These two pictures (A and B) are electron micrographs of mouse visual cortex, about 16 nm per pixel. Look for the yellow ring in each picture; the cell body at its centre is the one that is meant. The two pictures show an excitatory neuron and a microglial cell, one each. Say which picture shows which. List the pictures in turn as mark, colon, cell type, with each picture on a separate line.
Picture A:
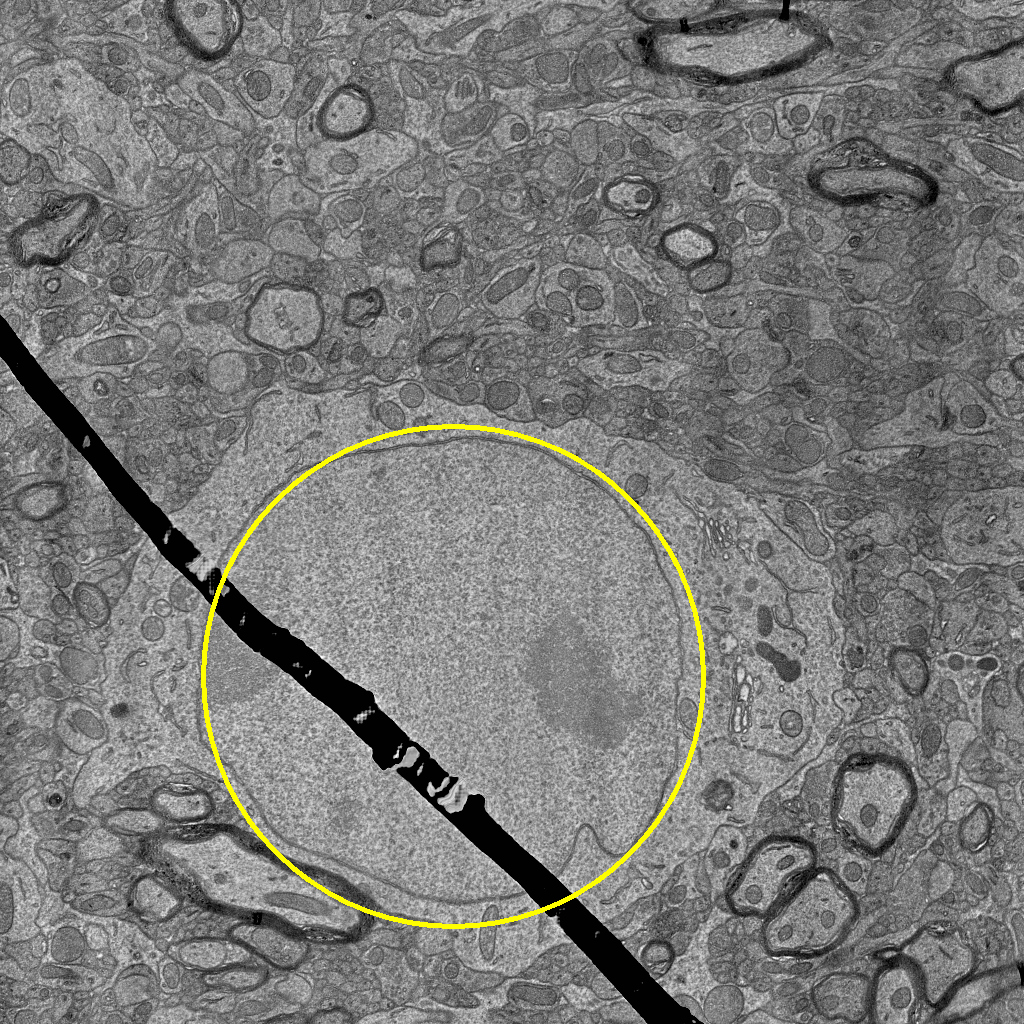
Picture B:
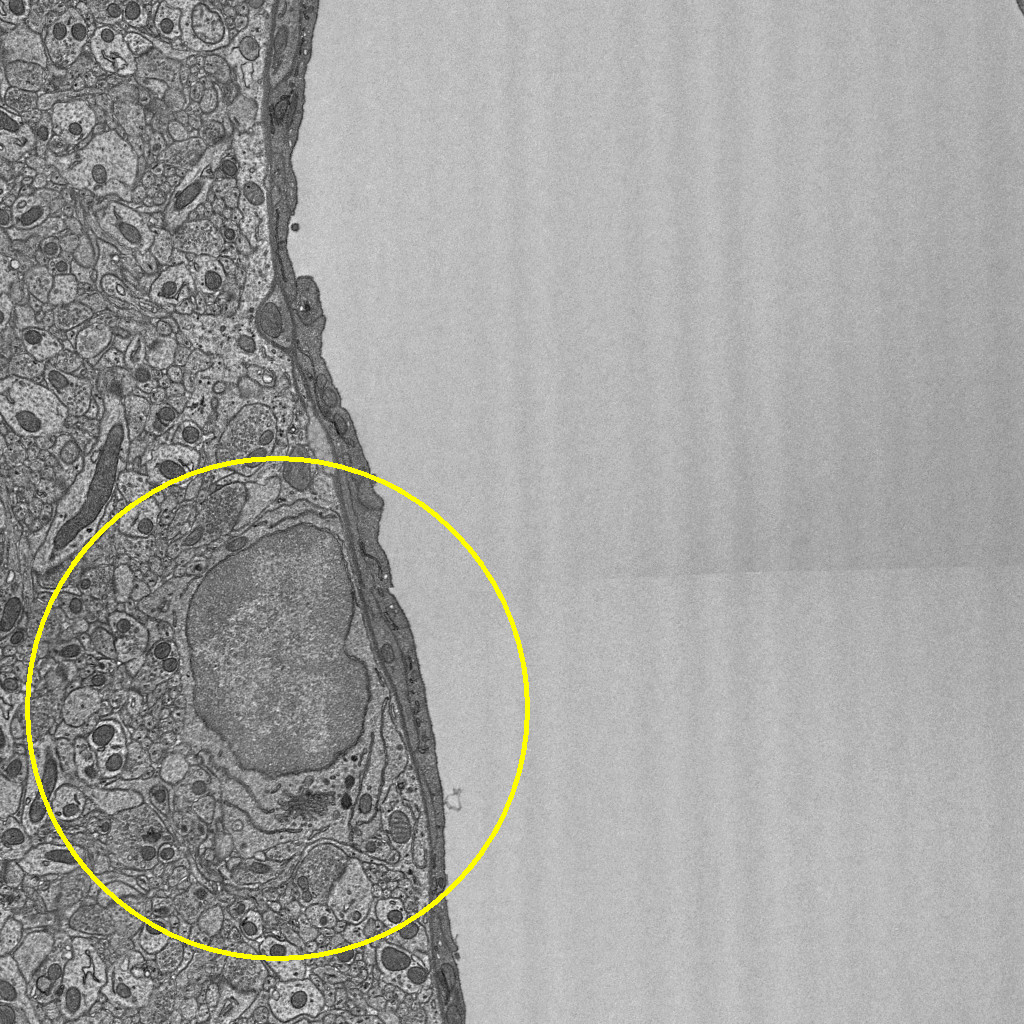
A: excitatory neuron
B: microglial cell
